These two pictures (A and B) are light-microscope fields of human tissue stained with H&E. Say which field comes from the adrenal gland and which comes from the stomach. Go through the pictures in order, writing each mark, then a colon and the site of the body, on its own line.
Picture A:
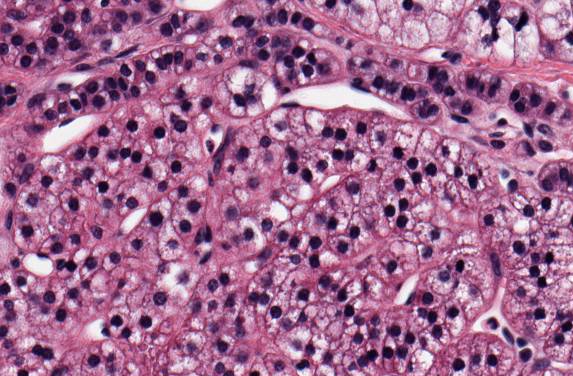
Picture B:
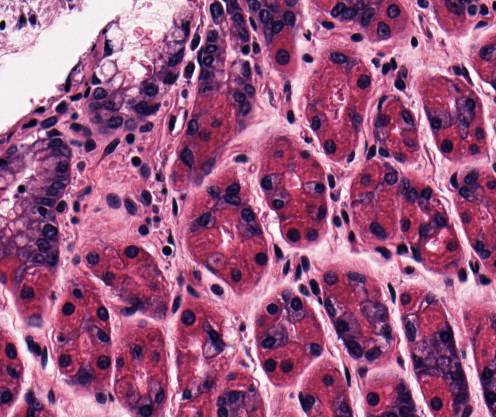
A: adrenal gland
B: stomach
